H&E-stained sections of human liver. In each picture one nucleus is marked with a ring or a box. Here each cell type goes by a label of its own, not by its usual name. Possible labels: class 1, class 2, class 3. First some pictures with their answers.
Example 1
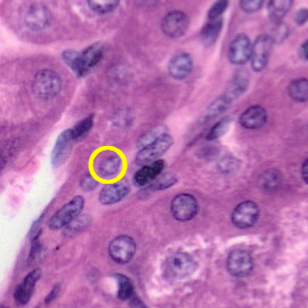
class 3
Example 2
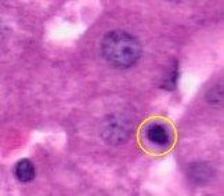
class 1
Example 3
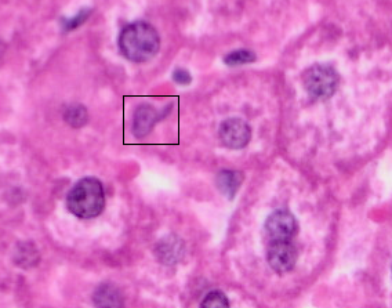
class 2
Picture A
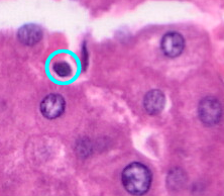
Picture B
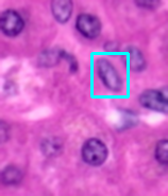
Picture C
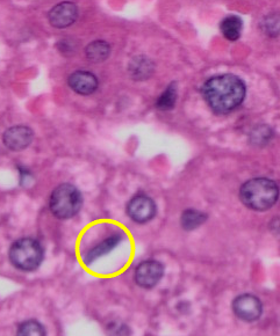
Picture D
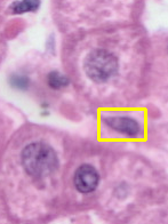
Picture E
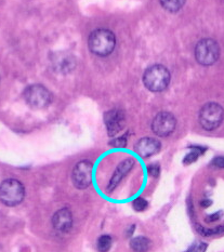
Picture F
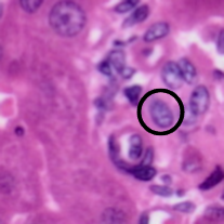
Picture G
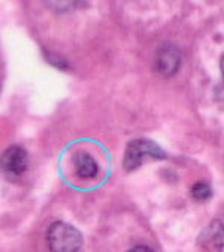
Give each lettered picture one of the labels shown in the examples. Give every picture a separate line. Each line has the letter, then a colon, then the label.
A: class 1
B: class 3
C: class 2
D: class 2
E: class 3
F: class 3
G: class 1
